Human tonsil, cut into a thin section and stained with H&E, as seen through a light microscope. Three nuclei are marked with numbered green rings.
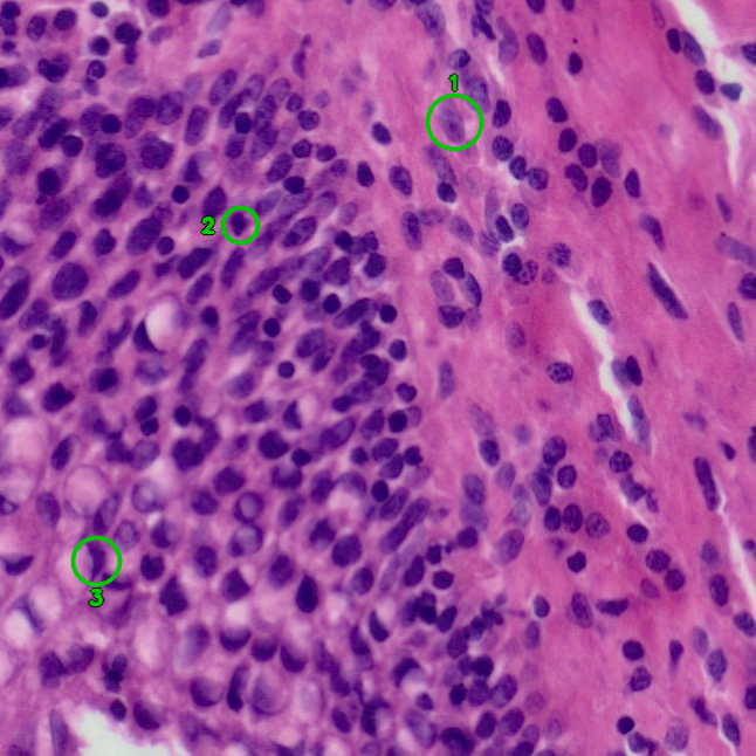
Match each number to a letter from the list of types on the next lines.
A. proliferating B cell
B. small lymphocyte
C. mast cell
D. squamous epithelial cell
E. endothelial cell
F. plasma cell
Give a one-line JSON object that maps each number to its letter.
{"1": "E", "2": "D", "3": "D"}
